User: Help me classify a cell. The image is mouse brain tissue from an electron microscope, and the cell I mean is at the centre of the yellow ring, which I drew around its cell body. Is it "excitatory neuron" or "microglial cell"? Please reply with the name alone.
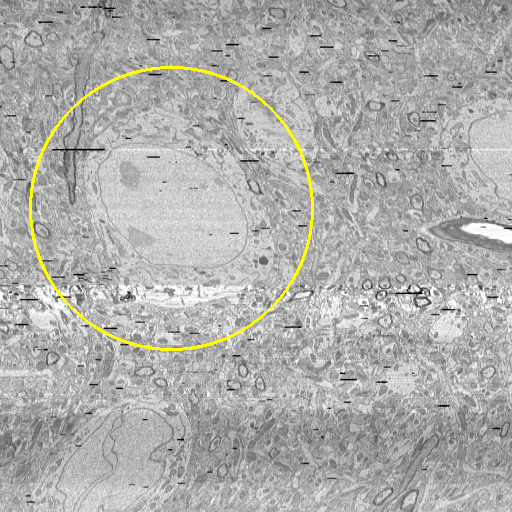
excitatory neuron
